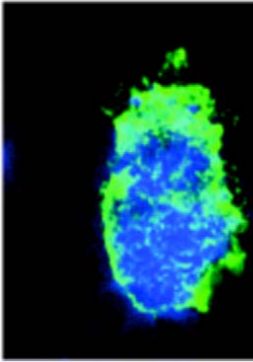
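The cell is oval and somewhat irregular in outline, with small projections at its upper end. The blue nucleus occupies most of the cell's interior. The green signal forms a bright, fairly continuous band around the periphery of the cell, while over the centre it is broken and patchy, letting the blue show through. The outer margin is uneven, with small green protrusions and blebs.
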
